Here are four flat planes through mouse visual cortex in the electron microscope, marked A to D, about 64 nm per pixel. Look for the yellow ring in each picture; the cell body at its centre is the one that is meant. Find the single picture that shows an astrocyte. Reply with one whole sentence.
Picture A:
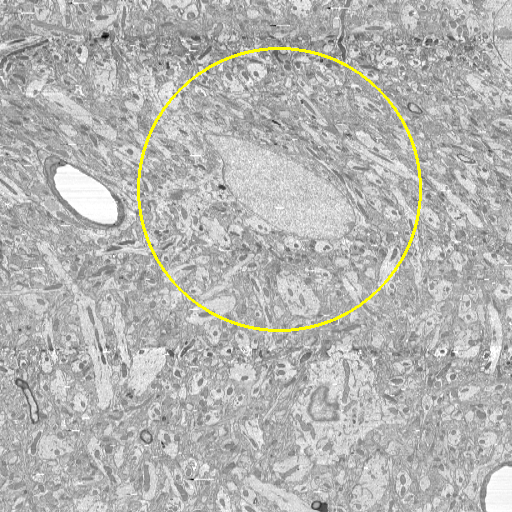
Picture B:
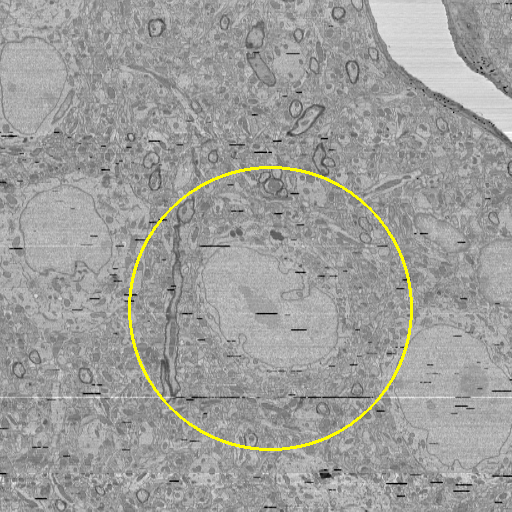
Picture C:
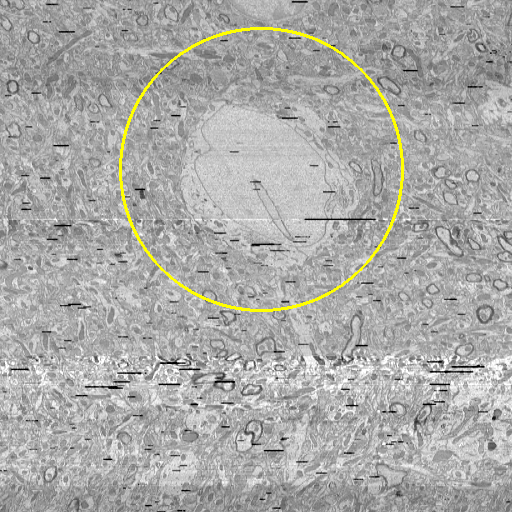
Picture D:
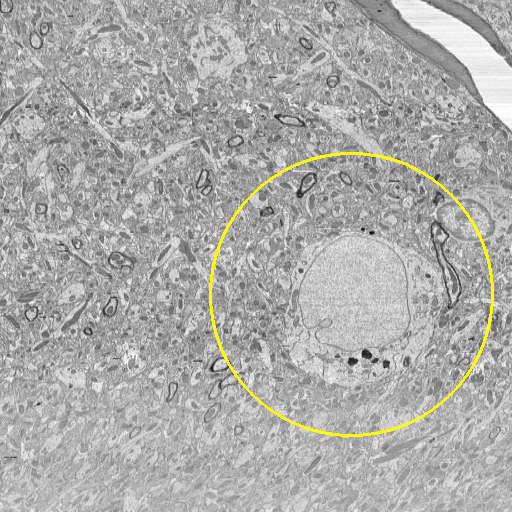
The astrocyte is the one in picture A.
